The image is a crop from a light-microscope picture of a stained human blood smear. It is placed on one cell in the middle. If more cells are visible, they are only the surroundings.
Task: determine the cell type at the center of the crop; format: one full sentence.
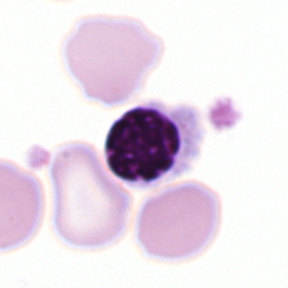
The cell found in the middle of this crop is an erythroblast.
